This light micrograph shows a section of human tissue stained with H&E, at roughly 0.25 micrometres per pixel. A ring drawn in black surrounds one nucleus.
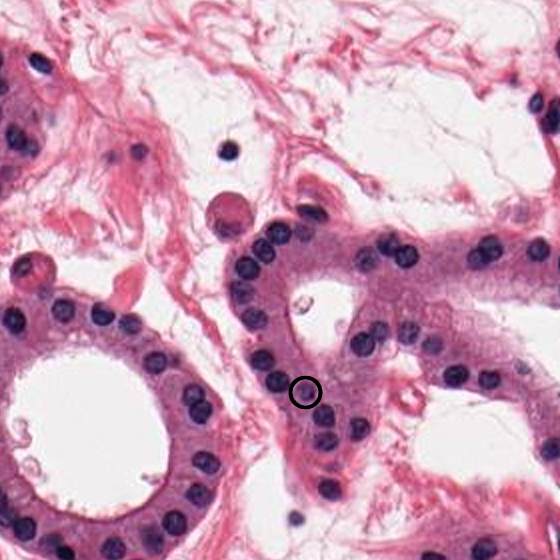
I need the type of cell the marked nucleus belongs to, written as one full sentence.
Marked in this picture is the nucleus of a thyroid follicular cell.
